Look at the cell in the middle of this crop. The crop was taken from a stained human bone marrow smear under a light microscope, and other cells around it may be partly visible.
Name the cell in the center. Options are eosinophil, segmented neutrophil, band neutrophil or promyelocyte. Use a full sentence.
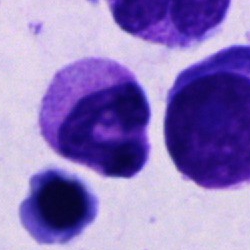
The cell found in the middle of this crop is a segmented neutrophil.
